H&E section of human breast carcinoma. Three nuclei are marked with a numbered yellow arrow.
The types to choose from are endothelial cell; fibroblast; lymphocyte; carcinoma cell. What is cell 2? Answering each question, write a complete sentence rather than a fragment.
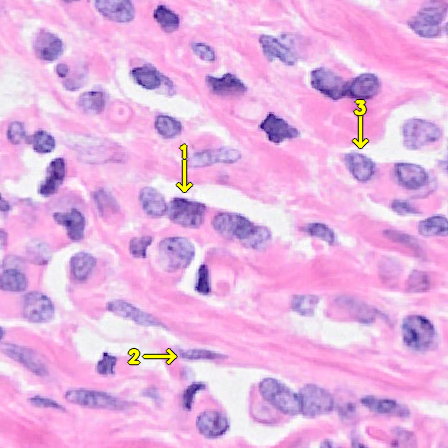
Denoted by the label 2 in the section is a fibroblast.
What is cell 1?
The expected answer is that cell 1 is a carcinoma cell.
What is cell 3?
Cell 3 in the field of view is a carcinoma cell.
